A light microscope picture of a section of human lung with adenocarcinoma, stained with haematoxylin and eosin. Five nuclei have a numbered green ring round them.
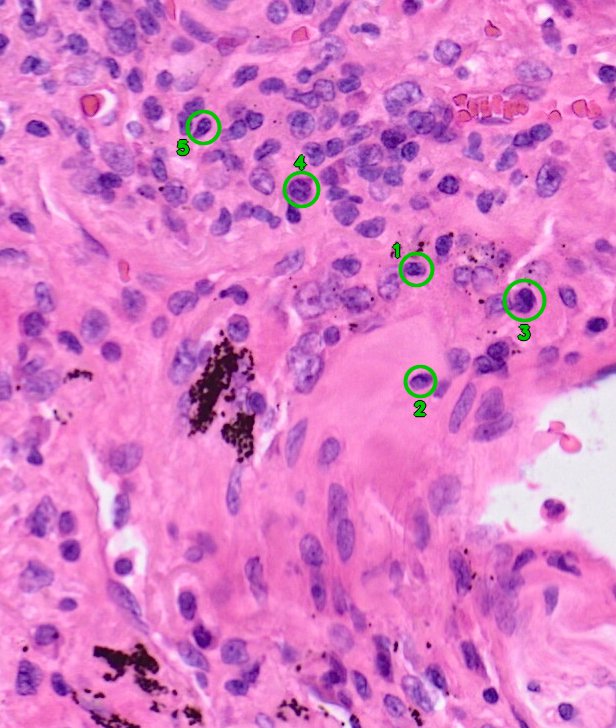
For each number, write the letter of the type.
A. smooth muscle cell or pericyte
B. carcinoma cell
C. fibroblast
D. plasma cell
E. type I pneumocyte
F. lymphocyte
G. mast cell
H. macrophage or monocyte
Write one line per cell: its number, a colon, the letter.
1: F
2: G
3: F
4: D
5: F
